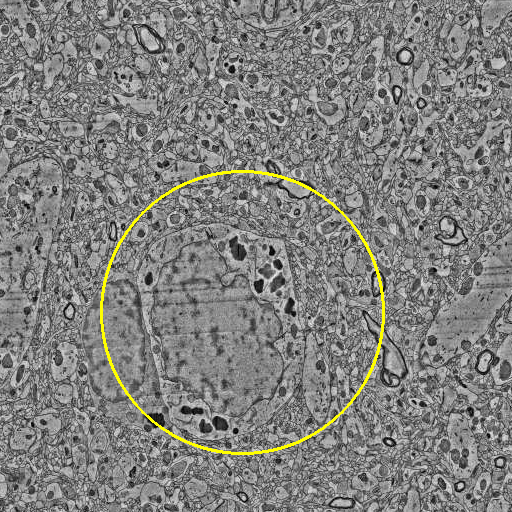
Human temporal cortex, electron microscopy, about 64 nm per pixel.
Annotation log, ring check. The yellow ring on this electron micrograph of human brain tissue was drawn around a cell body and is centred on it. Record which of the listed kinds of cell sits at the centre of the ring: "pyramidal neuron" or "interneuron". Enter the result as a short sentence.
The cell at the centre of the ring is an interneuron.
